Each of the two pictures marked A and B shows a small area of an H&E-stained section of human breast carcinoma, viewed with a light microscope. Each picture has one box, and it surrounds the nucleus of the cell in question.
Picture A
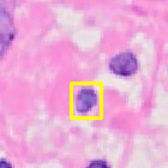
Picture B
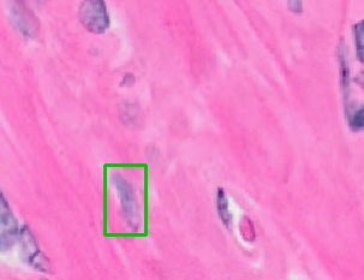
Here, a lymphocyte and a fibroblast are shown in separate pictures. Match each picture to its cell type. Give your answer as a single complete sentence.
Picture A shows a lymphocyte and picture B shows a fibroblast.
